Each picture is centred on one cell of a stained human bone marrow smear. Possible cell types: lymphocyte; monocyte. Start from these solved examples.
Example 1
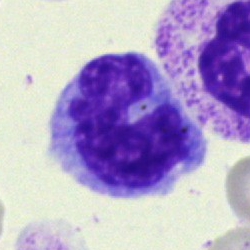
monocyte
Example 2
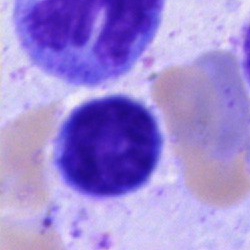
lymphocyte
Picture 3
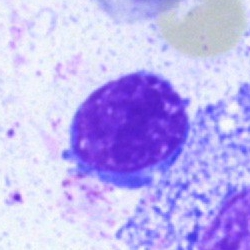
lymphocyte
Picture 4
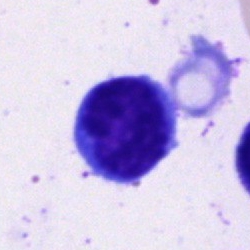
lymphocyte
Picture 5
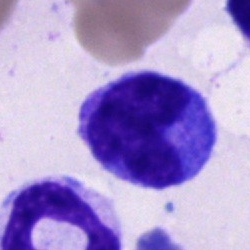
monocyte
